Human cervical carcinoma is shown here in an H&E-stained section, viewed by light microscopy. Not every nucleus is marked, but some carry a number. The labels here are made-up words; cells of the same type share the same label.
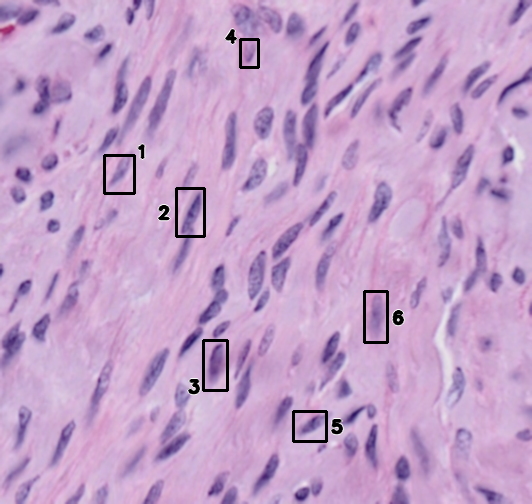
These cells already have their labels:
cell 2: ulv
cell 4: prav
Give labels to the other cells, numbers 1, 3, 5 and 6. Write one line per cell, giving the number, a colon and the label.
1: prav
3: ulv
5: ulv
6: prav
